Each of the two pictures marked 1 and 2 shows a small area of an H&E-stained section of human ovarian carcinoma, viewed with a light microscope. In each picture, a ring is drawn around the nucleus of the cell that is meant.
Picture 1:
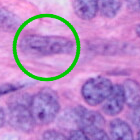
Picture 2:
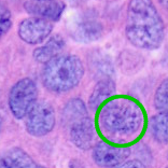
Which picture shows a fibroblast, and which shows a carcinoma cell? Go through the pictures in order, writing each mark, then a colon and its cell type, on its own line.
1: fibroblast
2: carcinoma cell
